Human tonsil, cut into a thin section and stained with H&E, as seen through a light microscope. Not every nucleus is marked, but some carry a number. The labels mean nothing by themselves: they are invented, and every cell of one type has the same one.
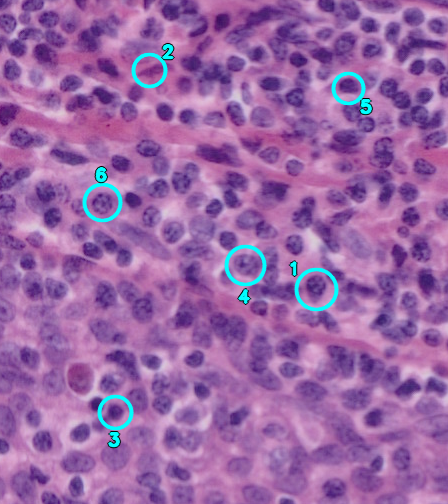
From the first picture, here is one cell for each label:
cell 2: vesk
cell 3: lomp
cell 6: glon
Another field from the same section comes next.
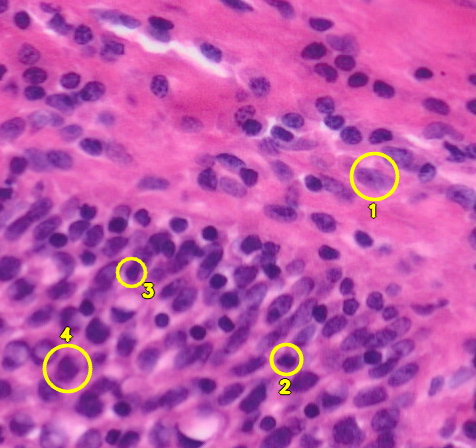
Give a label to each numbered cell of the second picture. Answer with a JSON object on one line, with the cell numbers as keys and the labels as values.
{"1": "vesk", "2": "lomp", "3": "lomp", "4": "lomp"}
